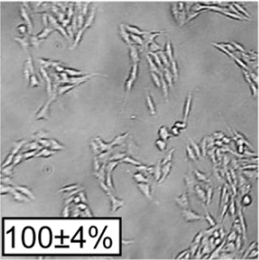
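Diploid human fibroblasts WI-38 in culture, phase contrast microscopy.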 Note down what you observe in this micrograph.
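Most cells are elongated and spindle-shaped, some with two or three tapering processes. Cells lie scattered in loose groups, often touching end to end, with open spaces between. A few small rounded bright cells are seen among them.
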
